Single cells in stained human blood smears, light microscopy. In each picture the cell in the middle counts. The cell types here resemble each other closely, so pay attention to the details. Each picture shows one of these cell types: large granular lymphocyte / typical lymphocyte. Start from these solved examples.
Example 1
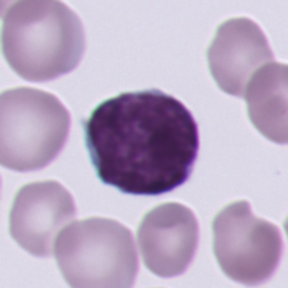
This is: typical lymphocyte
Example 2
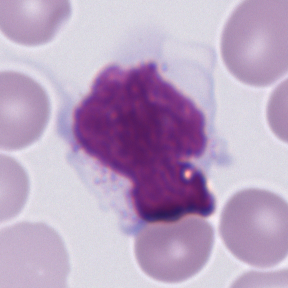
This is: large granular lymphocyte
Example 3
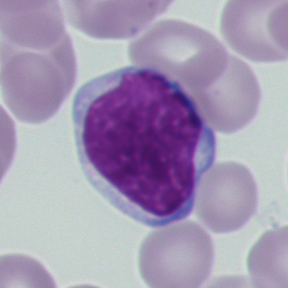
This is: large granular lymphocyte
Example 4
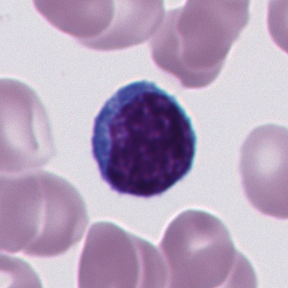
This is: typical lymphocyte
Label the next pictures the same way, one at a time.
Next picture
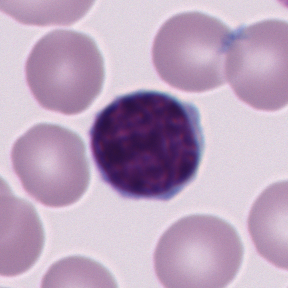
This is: typical lymphocyte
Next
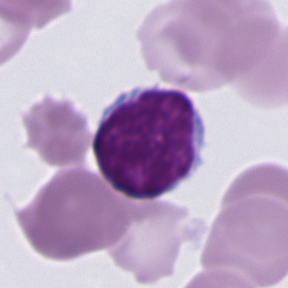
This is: typical lymphocyte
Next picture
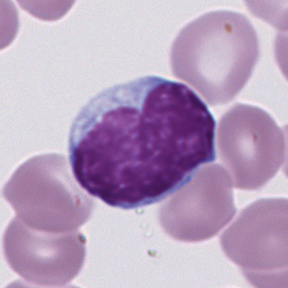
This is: typical lymphocyte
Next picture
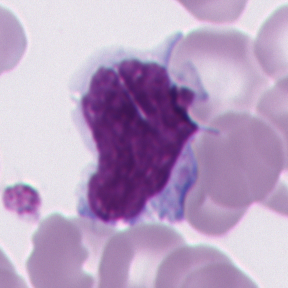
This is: typical lymphocyte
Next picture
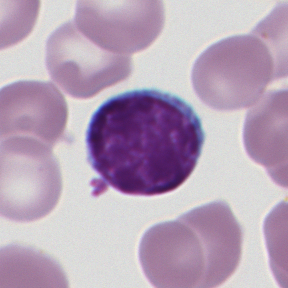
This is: typical lymphocyte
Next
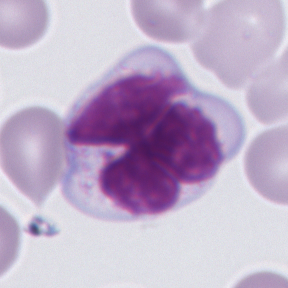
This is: large granular lymphocyte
